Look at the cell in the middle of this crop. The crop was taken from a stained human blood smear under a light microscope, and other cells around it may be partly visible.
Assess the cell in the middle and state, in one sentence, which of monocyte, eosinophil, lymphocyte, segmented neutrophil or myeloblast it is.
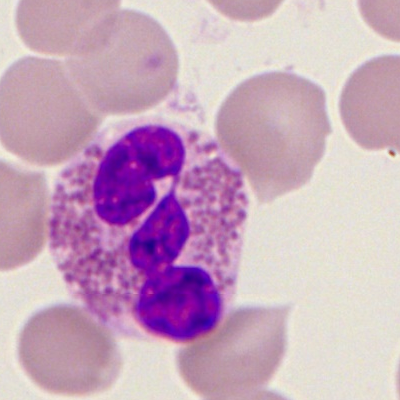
The cell at the heart of this crop is an eosinophil.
